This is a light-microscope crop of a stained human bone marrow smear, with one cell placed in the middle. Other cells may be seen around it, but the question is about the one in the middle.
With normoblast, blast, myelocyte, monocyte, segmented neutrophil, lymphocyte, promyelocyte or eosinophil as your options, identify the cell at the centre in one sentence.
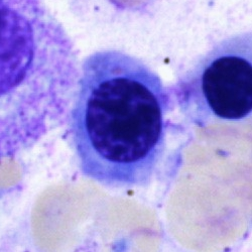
Standing at the centre of this crop is a normoblast.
